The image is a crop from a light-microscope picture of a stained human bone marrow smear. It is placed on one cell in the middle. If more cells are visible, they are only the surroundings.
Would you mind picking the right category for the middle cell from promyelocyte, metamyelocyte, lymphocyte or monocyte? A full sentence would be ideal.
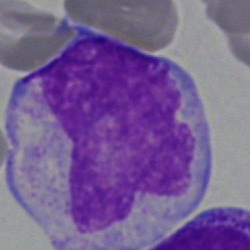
In the centre of this crop there is a monocyte.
